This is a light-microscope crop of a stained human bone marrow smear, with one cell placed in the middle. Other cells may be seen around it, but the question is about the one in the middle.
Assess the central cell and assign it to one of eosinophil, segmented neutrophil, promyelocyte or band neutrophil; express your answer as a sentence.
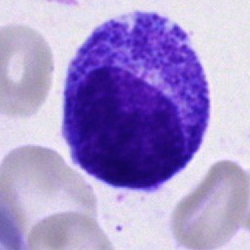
In short, the cell at the center is a promyelocyte.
